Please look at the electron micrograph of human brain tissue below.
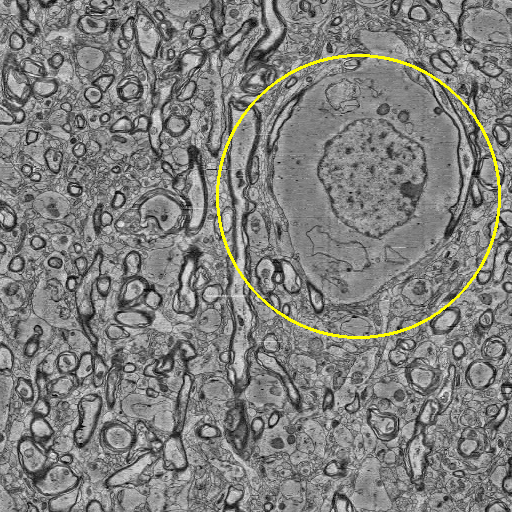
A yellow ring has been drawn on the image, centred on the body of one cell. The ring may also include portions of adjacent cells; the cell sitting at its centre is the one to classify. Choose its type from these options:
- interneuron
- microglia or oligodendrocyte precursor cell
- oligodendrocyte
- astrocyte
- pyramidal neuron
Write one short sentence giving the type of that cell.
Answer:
The cell in the middle of the ring is an astrocyte.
